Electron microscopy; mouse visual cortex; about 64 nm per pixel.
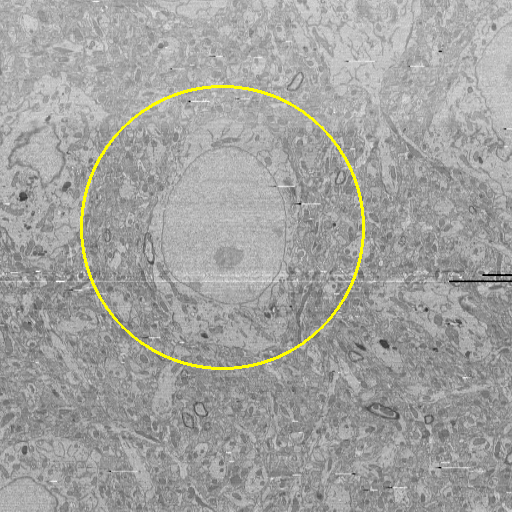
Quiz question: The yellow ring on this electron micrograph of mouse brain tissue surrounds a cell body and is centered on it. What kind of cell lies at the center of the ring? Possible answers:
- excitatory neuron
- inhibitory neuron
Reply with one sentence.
The ring's center lies on an excitatory neuron.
